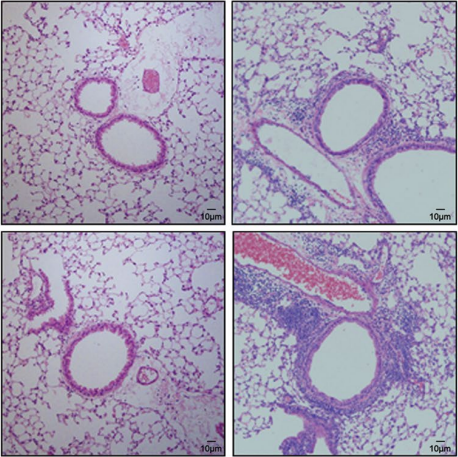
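Four views of pink-stained lung show round airways lined by a thin, even band of epithelium, with lace-like alveolar walls around them and blood vessels nearby. One vessel is packed with red blood cells. In the right-hand views, dense cuffs of small cells with dark purple nuclei crowd the tissue around the airways and vessels and thicken it, while the left-hand views have almost none. This is inflammatory infiltration around the airways, heaviest in the lower right view.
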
